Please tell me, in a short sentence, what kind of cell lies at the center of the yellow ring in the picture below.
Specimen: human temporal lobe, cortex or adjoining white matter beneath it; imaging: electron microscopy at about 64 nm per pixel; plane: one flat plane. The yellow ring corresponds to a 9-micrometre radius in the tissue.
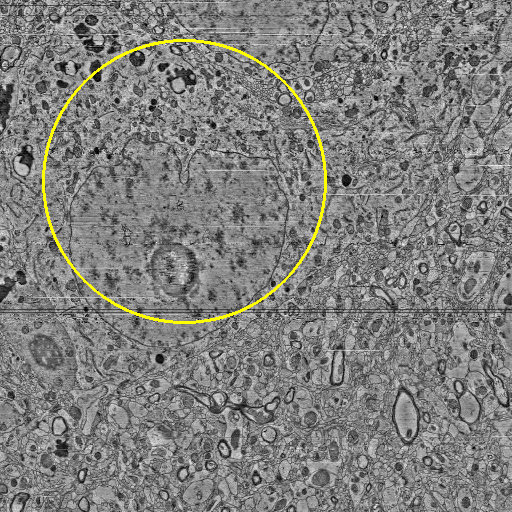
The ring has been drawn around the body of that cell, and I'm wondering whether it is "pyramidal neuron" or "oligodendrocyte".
The cell at the center of the ring is a pyramidal neuron.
